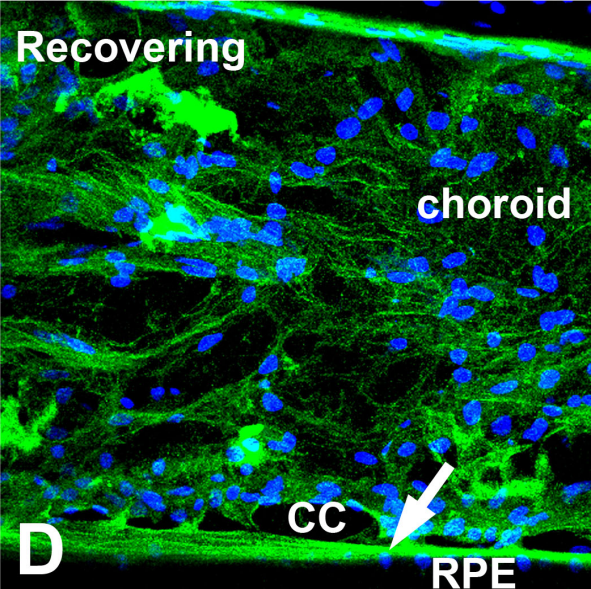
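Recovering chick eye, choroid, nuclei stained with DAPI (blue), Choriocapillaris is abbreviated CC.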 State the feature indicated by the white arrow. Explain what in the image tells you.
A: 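Bruch’s membrane. The arrow points to a thin, continuous bright green line along the bottom edge of the choroid. The line separates the choroidal stroma above from the dark unlabelled layer below.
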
